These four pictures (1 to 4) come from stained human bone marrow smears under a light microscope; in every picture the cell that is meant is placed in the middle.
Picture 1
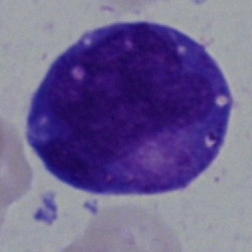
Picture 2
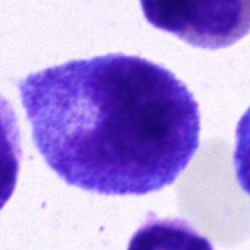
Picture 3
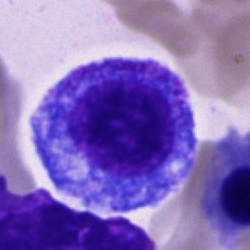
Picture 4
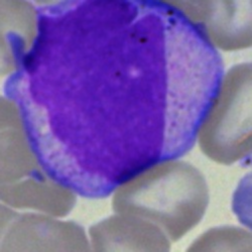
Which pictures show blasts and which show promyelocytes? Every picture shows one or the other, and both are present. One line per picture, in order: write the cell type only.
blast
promyelocyte
promyelocyte
blast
